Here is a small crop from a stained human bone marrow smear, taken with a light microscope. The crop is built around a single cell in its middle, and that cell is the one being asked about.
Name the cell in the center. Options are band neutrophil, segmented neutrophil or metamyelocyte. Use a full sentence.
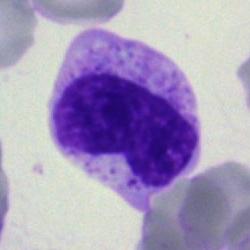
Standing at the centre of this crop is a metamyelocyte.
